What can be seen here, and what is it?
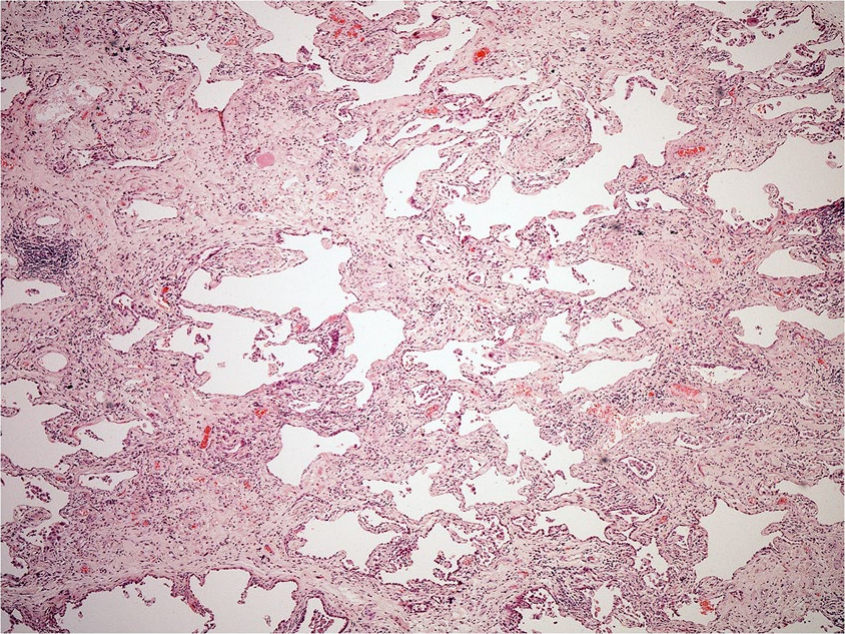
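This low-power view of lung shows alveolar walls uniformly thickened by pale pink fibrous tissue, so that the open air spaces look irregular and narrowed but keep their outlines. Scattered small dark nuclei lie within the widened septa, and a small dense collection of them sits at the left edge. Small vessels filled with red blood cells run through the fibrous tissue, and no large cystic spaces are seen.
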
